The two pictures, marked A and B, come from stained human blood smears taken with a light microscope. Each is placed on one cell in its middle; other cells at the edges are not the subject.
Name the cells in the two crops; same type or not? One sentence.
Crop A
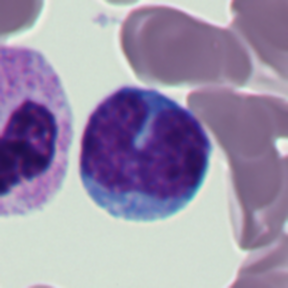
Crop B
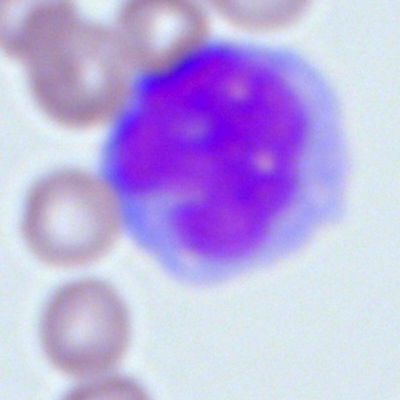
Yes, the cells at the centre of the two crops are both monocytes.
